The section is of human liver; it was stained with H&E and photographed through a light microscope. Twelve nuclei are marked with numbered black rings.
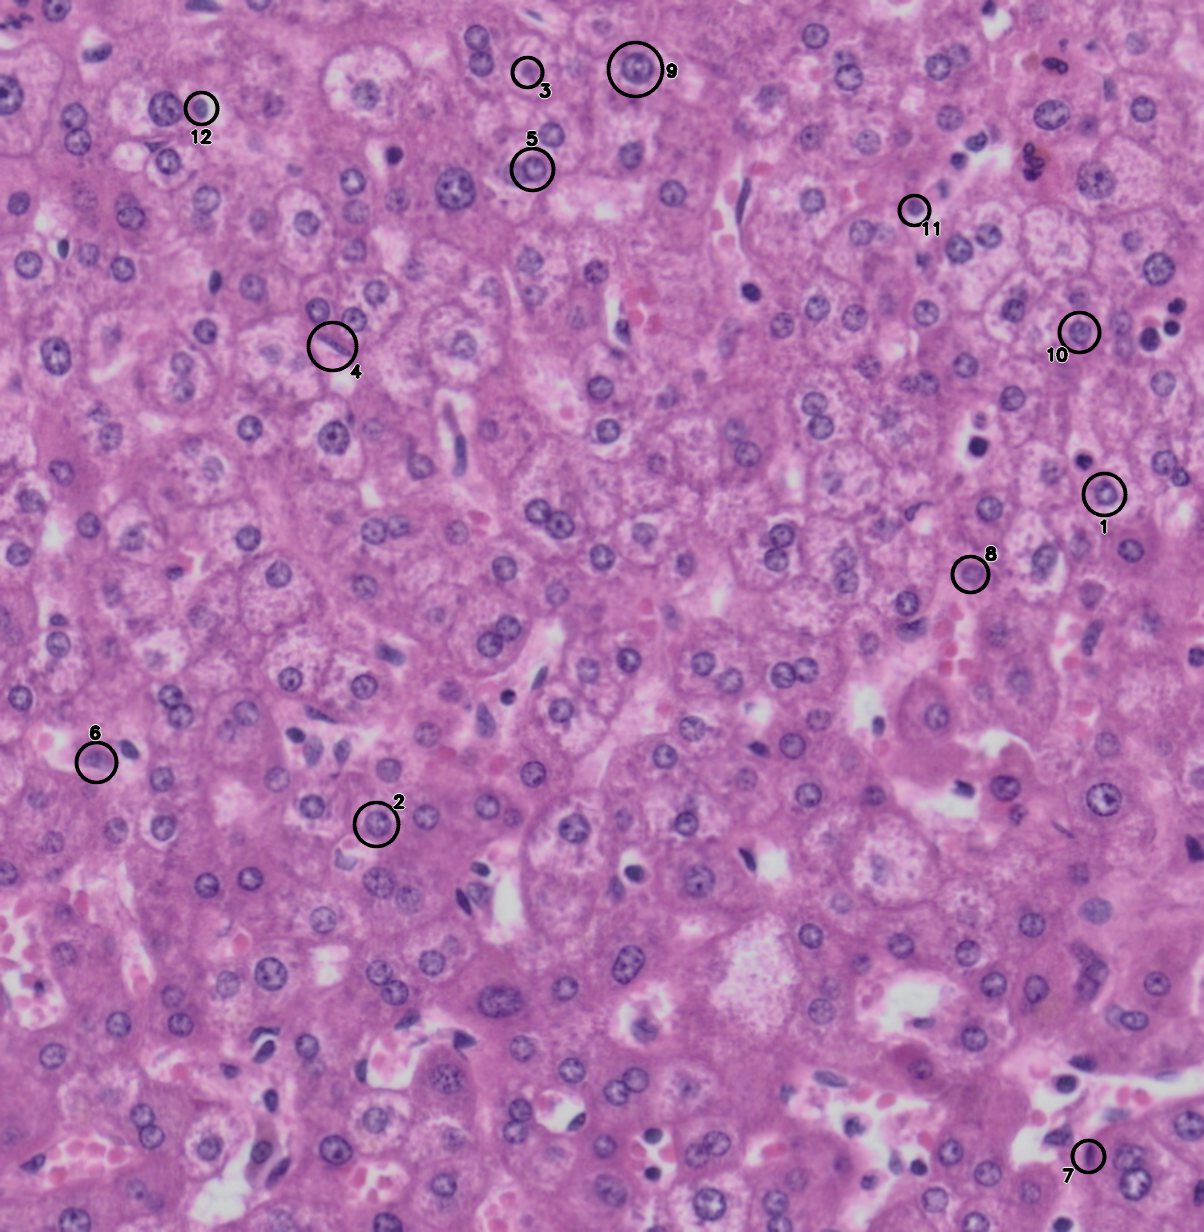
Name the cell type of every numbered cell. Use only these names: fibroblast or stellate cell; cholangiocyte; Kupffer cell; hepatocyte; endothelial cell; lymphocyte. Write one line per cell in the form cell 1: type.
cell 1: hepatocyte
cell 2: hepatocyte
cell 3: hepatocyte
cell 4: endothelial cell
cell 5: hepatocyte
cell 6: Kupffer cell
cell 7: fibroblast or stellate cell
cell 8: hepatocyte
cell 9: hepatocyte
cell 10: hepatocyte
cell 11: lymphocyte
cell 12: lymphocyte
